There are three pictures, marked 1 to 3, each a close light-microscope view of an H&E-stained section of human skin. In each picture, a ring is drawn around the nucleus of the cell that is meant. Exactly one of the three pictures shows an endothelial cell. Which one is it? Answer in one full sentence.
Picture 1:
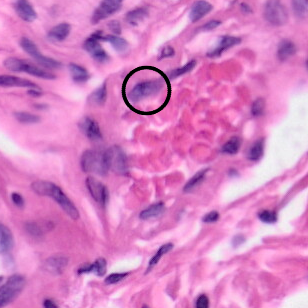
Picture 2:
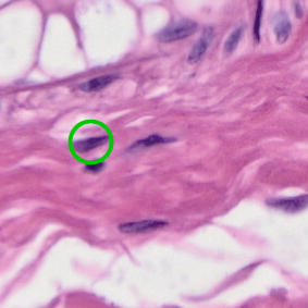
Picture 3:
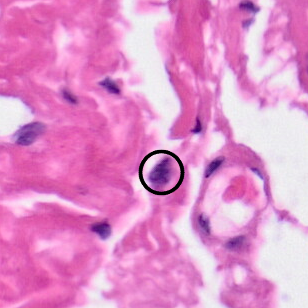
Picture 1 is the one that shows the endothelial cell.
